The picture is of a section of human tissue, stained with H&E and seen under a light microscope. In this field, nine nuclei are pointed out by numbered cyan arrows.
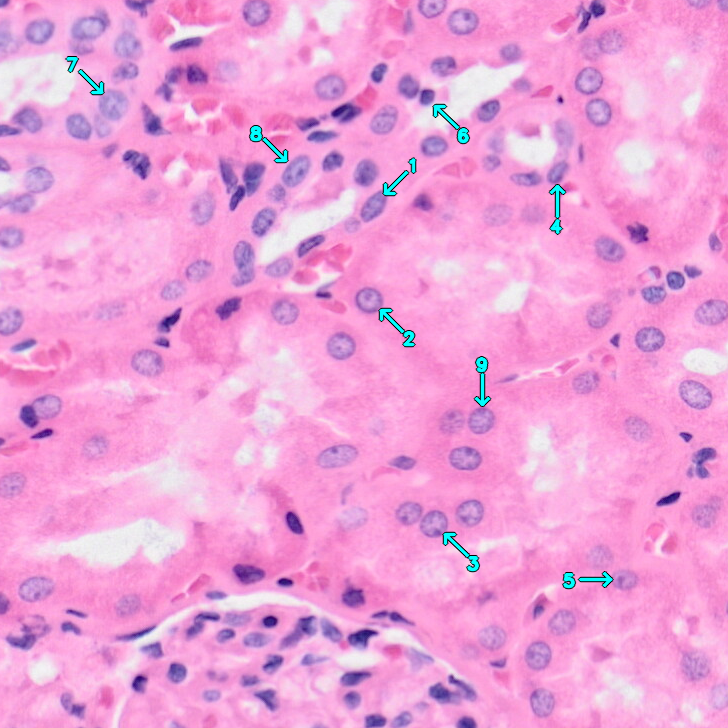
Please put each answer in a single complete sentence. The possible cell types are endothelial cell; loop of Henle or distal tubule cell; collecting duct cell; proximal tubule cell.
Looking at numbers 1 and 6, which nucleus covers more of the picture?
Of the two, number 1 is bigger and takes up about 2 times the area of number 6.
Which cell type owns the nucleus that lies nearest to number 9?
The nucleus nearest to number 9 is that of a proximal tubule cell.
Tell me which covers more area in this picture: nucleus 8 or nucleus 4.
Nucleus 8 is the larger one, covering about 2 times the area of nucleus 4.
